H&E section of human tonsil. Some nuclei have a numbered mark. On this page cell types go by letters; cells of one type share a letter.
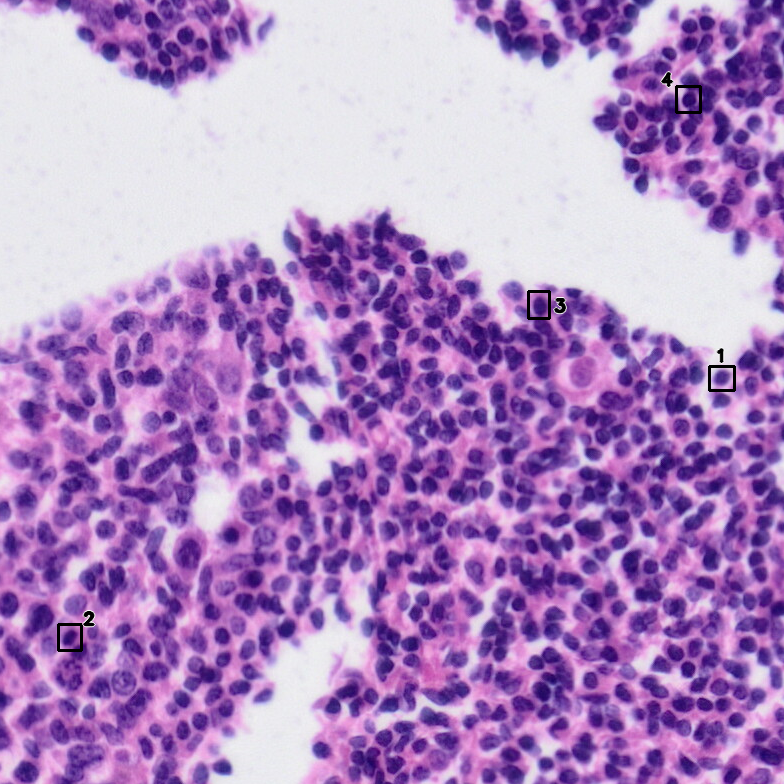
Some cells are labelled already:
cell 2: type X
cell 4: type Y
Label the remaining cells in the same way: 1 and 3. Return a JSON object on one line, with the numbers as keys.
{"1": "type Y", "3": "type Y"}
